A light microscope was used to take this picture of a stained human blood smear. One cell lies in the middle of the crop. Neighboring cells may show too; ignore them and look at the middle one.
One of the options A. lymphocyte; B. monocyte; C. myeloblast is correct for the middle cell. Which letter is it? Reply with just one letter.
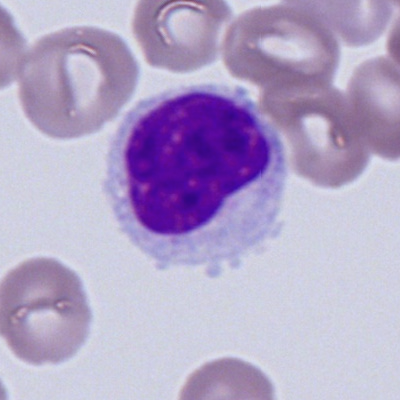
A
